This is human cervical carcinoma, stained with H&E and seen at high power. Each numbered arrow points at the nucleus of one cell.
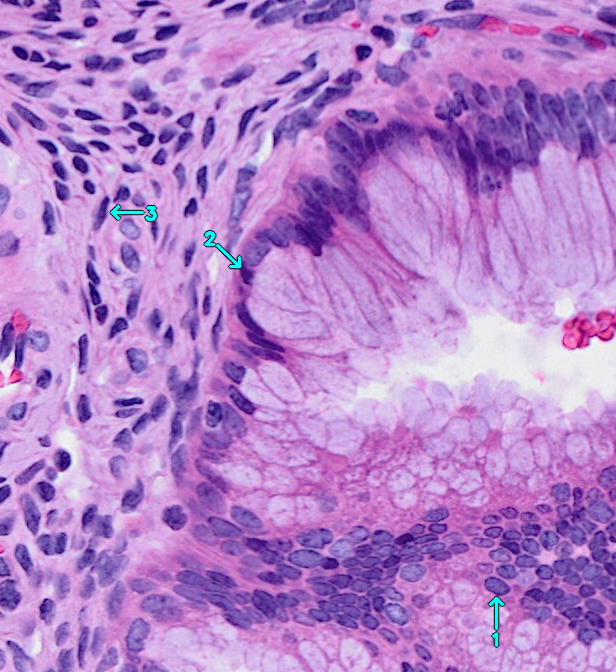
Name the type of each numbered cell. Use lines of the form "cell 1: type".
cell 1: secretory epithelial cell
cell 2: secretory epithelial cell
cell 3: fibroblast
